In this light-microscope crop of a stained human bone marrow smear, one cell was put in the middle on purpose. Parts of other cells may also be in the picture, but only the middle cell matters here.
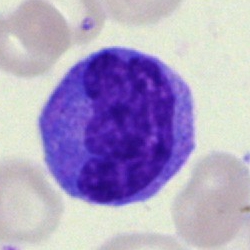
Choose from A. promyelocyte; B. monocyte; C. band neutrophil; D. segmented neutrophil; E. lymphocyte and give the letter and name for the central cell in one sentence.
The cell right in the middle is a monocyte, so option B is the one.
